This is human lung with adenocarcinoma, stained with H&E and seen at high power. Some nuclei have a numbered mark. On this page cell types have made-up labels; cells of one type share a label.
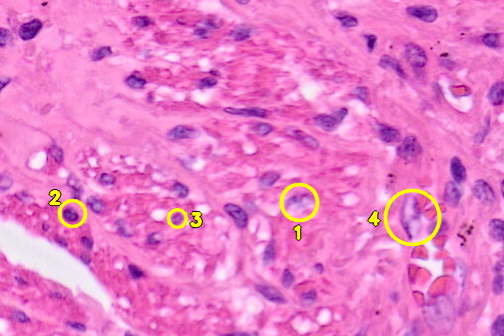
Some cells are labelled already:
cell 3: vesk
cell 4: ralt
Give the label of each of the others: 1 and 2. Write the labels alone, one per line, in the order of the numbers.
vesk
vesk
